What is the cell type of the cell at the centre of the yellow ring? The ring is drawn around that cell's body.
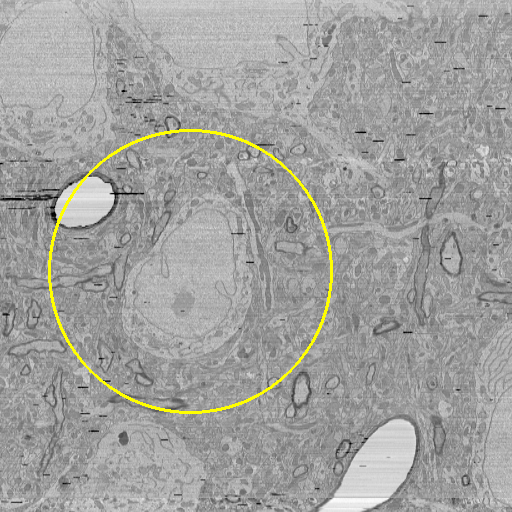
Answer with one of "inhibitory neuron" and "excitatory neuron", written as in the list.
inhibitory neuron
